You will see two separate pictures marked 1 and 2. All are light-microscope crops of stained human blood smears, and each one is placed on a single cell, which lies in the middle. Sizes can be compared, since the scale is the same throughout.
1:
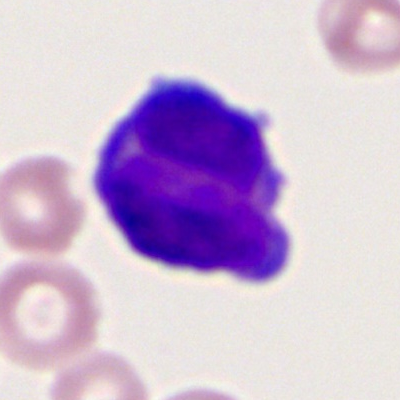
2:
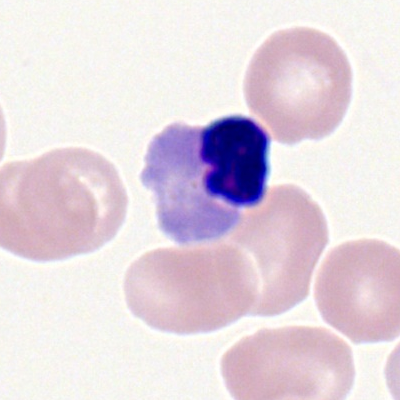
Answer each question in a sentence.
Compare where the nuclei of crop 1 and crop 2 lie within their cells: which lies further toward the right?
Seen within its cell, the nucleus in crop 2 lies further toward the right.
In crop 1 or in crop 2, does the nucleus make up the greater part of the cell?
Of the two, the nucleus in crop 1 makes up the greater part of its cell.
